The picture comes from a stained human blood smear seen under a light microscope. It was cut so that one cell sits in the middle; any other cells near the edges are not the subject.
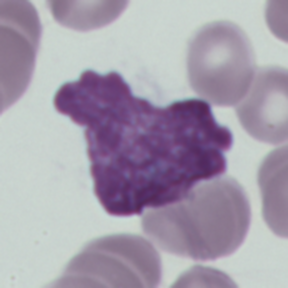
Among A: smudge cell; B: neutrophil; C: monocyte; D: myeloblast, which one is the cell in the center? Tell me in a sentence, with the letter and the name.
Answer key: option A, the middle cell being a smudge cell.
